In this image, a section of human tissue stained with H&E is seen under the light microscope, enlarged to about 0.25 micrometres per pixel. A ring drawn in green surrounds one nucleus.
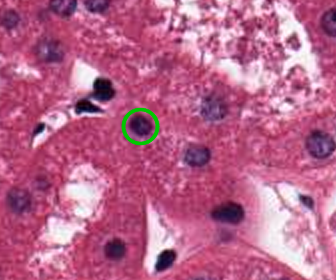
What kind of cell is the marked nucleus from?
proximal tubule cell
